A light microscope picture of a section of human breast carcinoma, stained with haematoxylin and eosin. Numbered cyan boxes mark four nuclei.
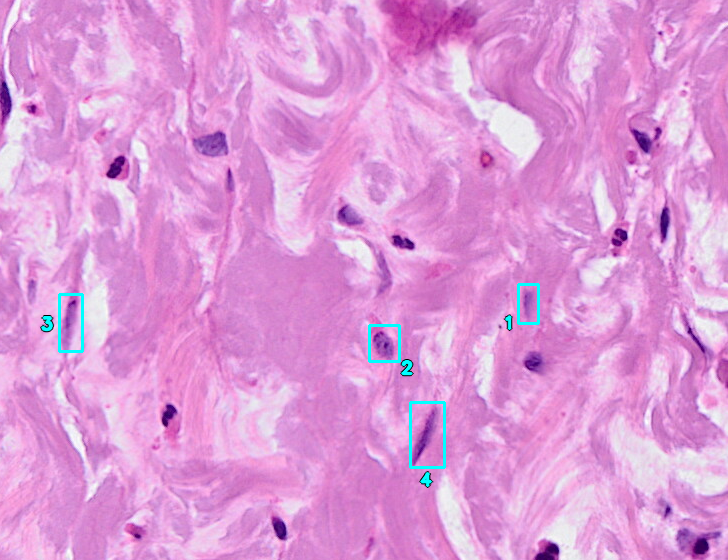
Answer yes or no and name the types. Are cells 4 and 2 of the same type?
No, the identities are a fibroblast for cell 4 and a mast cell for cell 2.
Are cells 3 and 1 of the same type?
Yes, each of the two cells, 3 and 1, is among the fibroblasts.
